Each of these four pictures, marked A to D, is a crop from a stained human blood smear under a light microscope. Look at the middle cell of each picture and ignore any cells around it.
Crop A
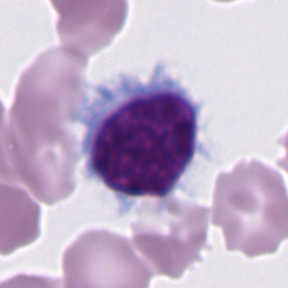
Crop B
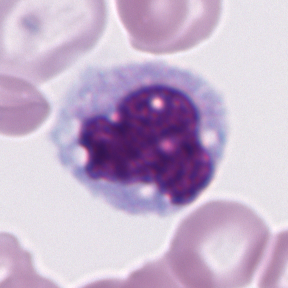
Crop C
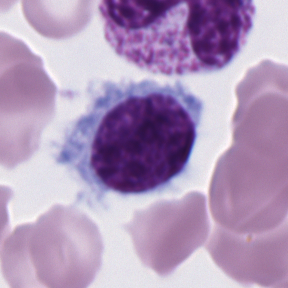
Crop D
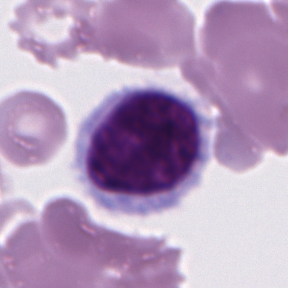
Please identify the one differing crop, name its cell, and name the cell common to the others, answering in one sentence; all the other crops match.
Crop B breaks the pattern as a monocyte; the other crops all contain hairy cells.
